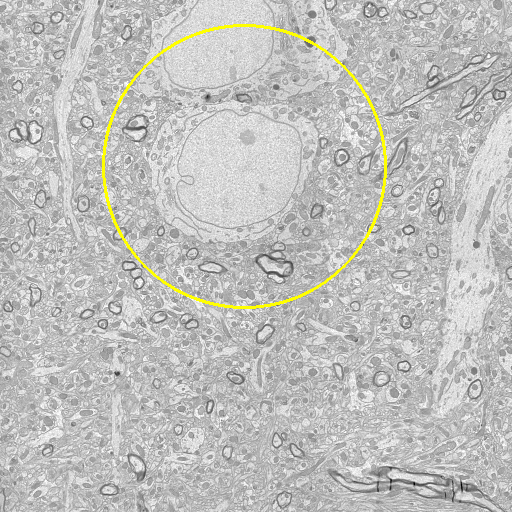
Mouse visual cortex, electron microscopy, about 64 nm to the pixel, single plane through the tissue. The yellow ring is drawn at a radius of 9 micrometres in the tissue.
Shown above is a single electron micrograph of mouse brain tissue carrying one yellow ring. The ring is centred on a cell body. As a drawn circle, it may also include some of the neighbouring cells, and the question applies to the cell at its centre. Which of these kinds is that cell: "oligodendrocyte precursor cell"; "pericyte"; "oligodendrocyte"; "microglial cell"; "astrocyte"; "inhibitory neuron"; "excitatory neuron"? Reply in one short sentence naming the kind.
The cell marked by the ring is an excitatory neuron.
